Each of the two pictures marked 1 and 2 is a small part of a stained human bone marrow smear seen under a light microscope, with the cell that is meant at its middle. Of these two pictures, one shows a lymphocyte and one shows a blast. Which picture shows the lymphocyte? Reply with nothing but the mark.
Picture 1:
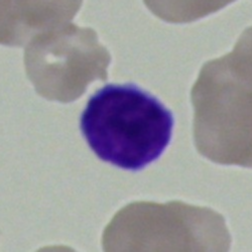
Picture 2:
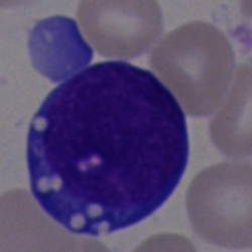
1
